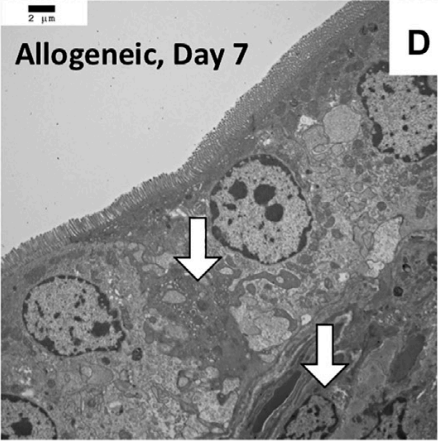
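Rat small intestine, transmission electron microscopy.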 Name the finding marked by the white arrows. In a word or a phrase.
partial necrosis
